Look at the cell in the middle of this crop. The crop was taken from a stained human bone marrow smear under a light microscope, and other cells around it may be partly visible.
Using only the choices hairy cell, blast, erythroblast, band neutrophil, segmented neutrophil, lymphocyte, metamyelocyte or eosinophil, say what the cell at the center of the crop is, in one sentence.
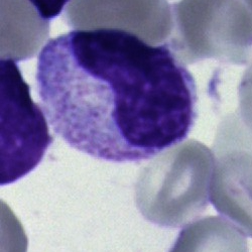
Of the cells in this crop, the central one is a metamyelocyte.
